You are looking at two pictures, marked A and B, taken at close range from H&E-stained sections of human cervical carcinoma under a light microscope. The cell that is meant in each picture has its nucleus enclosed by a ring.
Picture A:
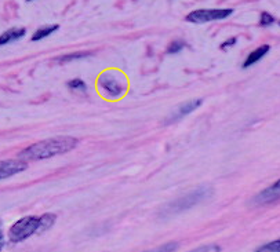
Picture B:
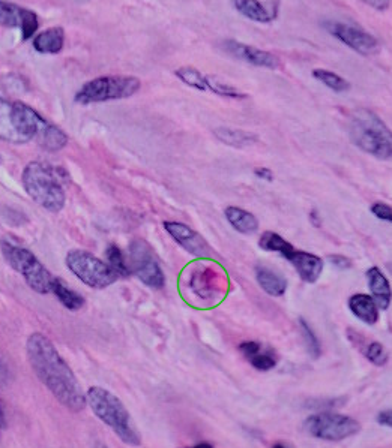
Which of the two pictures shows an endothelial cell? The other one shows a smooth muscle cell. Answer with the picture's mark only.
B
